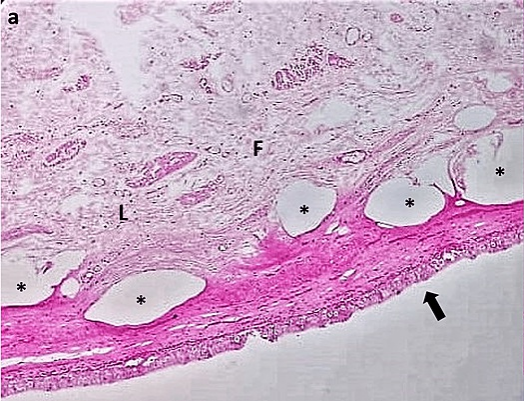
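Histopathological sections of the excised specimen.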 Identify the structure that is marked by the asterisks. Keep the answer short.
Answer: Cystic spaces.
